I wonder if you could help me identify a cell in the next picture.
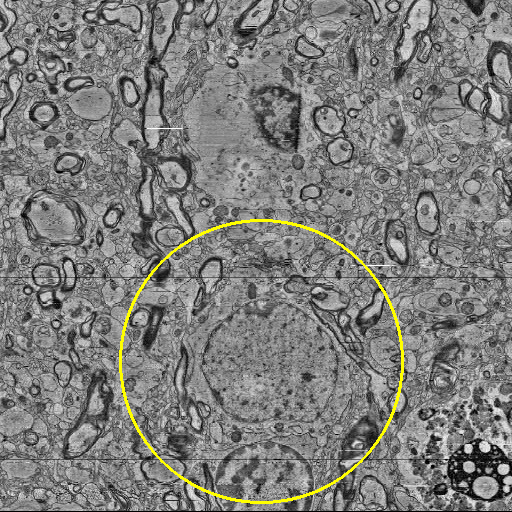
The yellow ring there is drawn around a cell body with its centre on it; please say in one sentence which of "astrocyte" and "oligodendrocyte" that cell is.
The yellow ring is centred on an astrocyte.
